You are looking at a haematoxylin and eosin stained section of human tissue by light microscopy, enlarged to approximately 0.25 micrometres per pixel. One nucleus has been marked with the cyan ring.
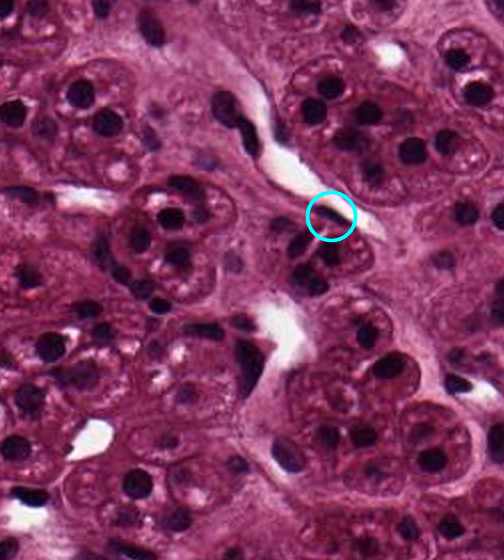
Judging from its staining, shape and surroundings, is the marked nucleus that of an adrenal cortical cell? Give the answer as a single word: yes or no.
no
